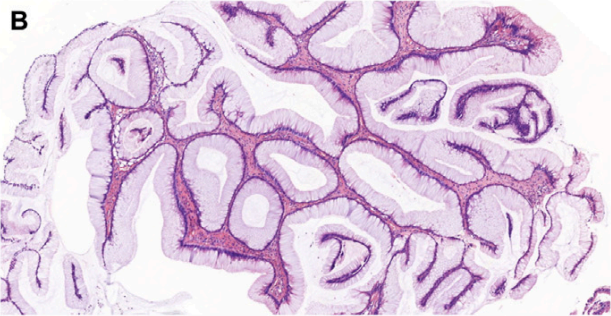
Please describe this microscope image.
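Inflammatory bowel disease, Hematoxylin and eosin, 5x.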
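The glands and folds are large and lined by tall columnar cells whose cytoplasm is stuffed with pale, almost clear mucin. Their nuclei form a dark purple band pressed to the base of the lining. Between the glands runs only a thin network of pink stroma, so the mucinous epithelium dominates the field. Some lumens contain pale mucus.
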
